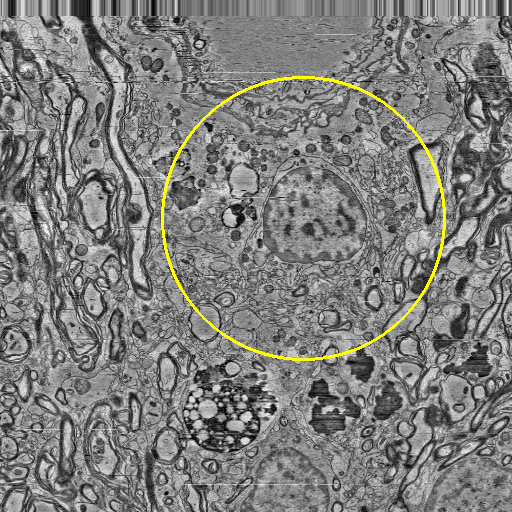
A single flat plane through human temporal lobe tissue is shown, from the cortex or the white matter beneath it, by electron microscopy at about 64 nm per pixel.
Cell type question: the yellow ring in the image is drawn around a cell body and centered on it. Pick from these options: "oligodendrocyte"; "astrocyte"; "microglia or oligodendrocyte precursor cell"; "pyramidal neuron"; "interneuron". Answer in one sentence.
The ringed cell at the center is a microglial cell or oligodendrocyte precursor cell.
